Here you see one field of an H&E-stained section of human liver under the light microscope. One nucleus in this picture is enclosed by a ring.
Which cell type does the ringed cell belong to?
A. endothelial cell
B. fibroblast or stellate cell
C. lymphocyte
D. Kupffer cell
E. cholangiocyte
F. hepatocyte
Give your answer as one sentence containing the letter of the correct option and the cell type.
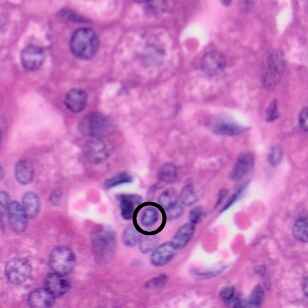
The correct option is E, as the ringed cell is a cholangiocyte.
